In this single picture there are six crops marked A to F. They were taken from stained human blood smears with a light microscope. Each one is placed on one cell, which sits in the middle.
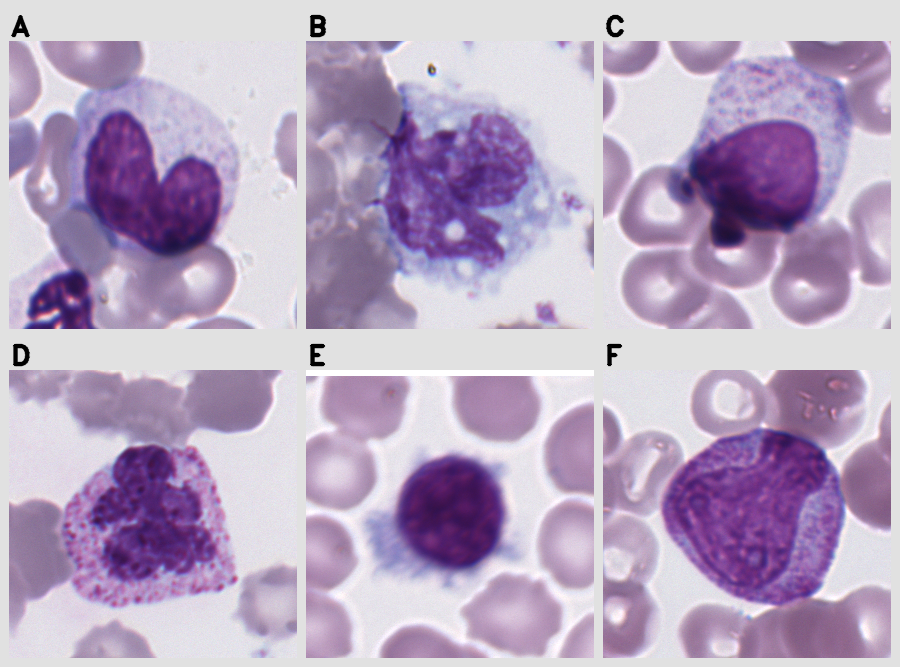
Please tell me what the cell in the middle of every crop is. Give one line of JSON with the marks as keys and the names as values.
{"A": "metamyelocyte", "B": "monocyte", "C": "myelocyte", "D": "basophil", "E": "hairy cell", "F": "atypical promyelocyte"}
